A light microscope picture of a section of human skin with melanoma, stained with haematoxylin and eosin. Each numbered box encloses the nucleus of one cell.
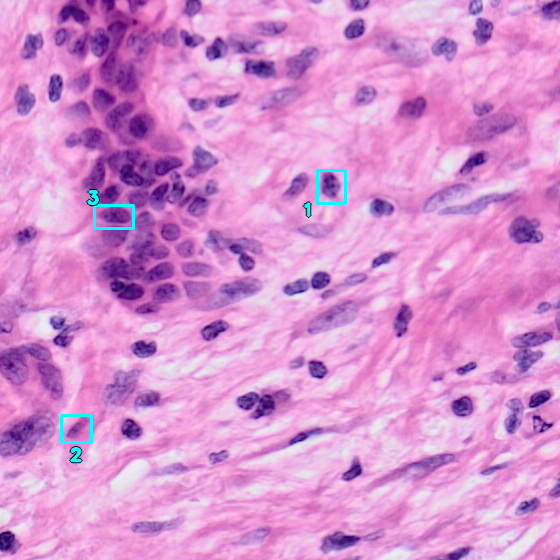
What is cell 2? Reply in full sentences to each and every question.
Nucleus 2 in this section belongs to a macrophage or monocyte.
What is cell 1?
Within this field of view, the cell labelled 1 is a lymphocyte.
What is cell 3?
The nucleus labelled 3 belongs to a keratinocyte.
